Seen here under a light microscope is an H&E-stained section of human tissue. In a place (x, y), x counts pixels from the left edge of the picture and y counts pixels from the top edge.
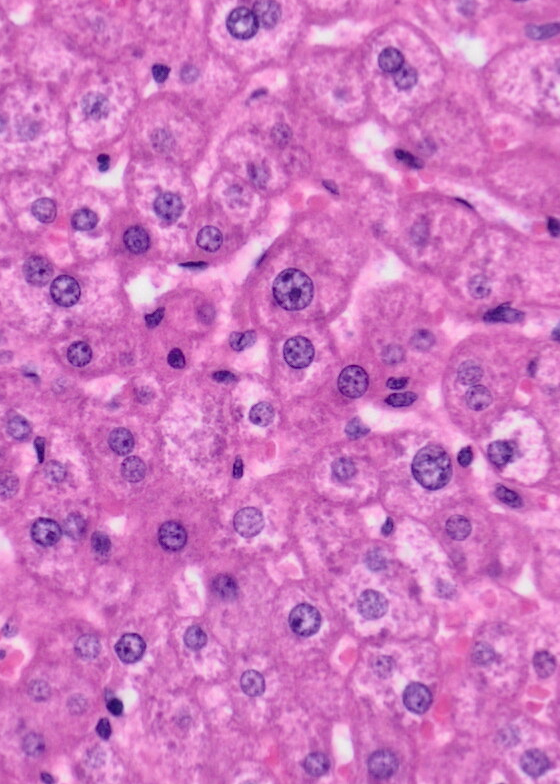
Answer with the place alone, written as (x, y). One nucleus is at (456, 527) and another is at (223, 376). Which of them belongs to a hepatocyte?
(456, 527)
